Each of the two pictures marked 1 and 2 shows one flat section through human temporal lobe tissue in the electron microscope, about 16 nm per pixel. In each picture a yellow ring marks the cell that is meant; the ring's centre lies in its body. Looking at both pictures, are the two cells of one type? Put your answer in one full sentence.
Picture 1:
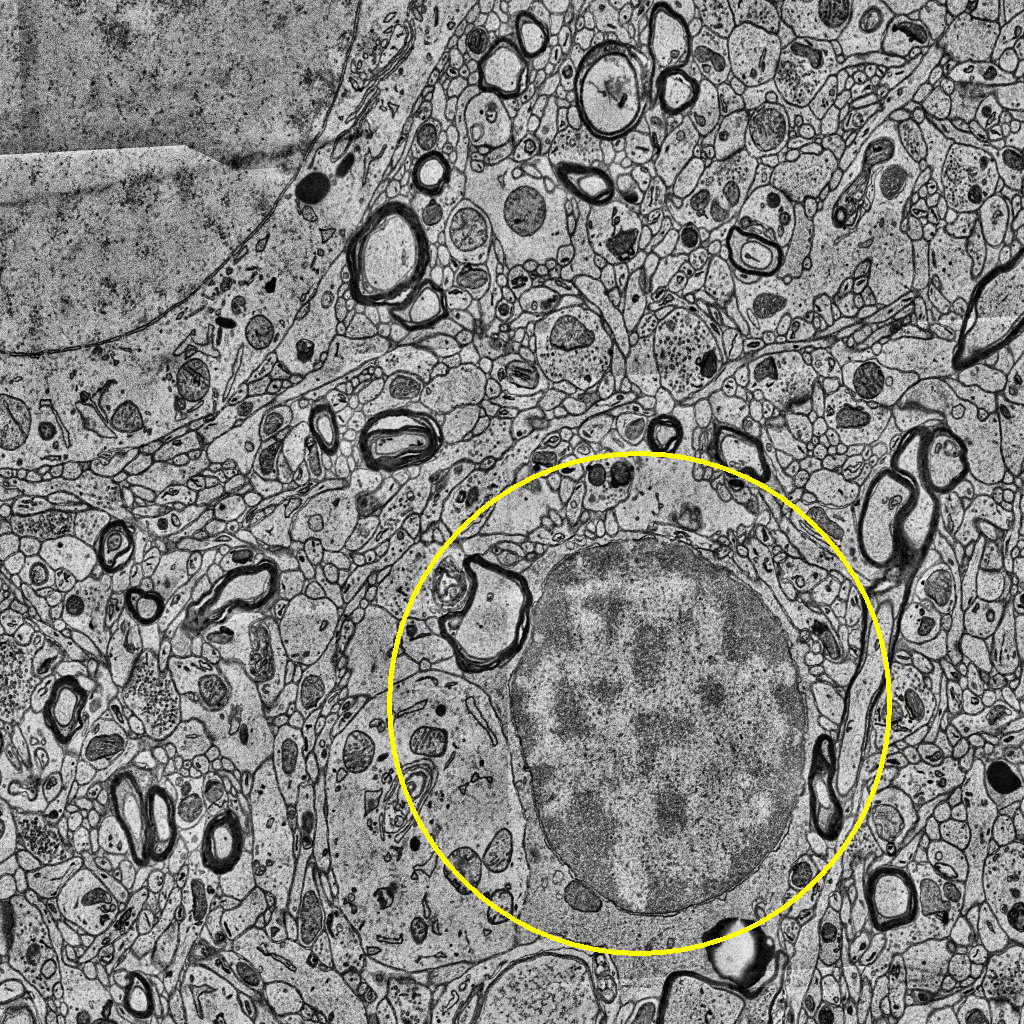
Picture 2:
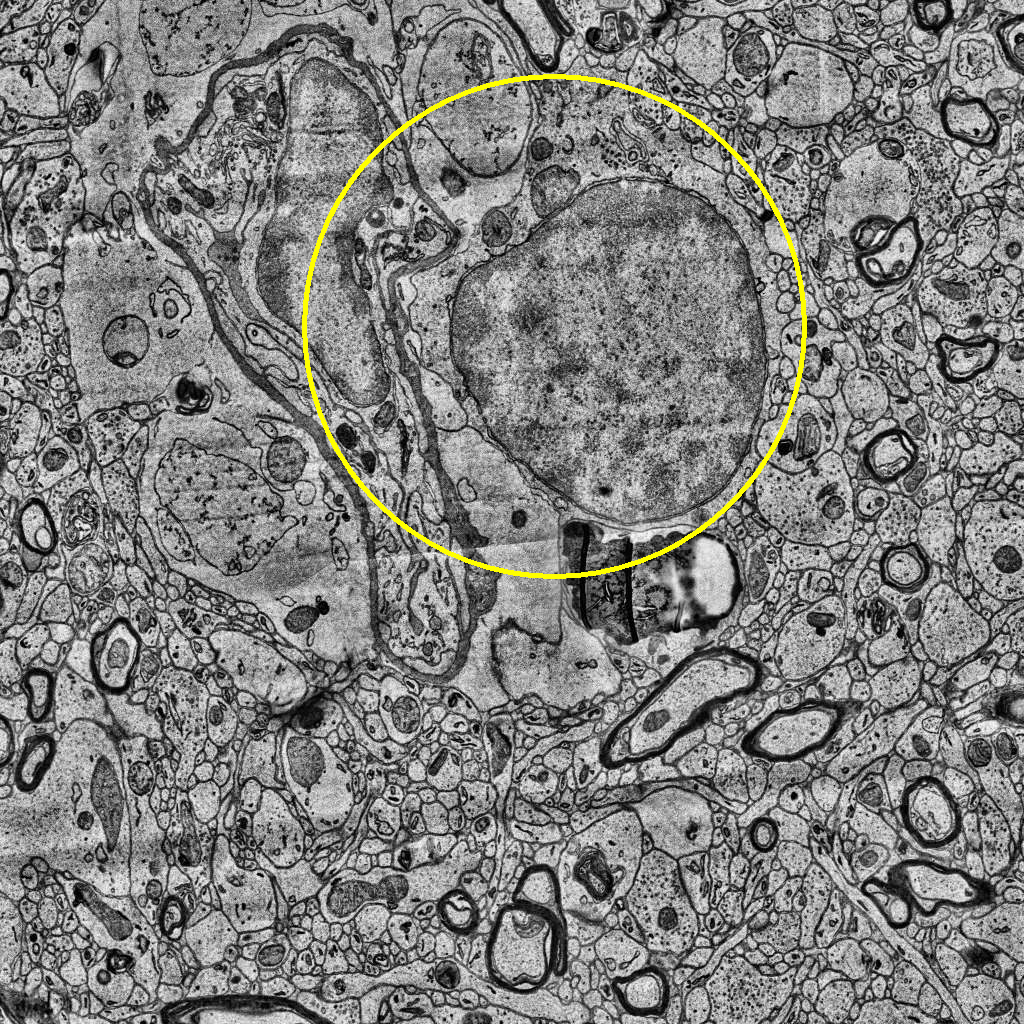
Yes, the two pictures both show oligodendrocytes.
